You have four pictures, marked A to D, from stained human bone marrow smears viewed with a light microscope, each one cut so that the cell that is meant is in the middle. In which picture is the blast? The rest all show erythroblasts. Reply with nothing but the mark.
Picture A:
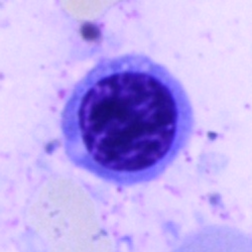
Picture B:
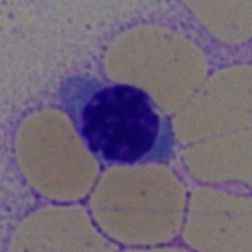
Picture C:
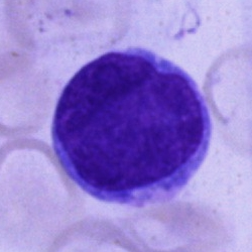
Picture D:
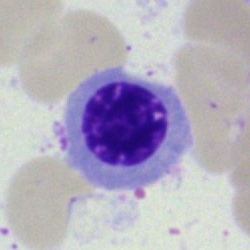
C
